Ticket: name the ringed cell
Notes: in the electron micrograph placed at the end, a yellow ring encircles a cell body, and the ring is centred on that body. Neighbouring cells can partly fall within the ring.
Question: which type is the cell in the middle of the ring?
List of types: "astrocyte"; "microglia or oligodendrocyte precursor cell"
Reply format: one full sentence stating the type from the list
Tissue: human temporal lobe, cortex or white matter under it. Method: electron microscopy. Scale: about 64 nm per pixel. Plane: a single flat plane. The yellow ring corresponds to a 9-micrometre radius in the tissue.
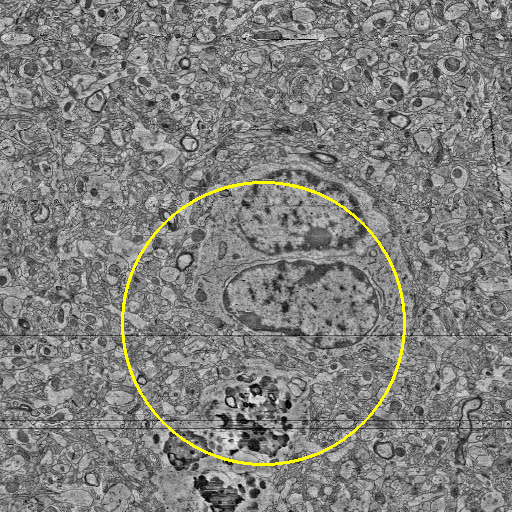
The cell sitting at the centre of the yellow ring is a microglial cell or oligodendrocyte precursor cell.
